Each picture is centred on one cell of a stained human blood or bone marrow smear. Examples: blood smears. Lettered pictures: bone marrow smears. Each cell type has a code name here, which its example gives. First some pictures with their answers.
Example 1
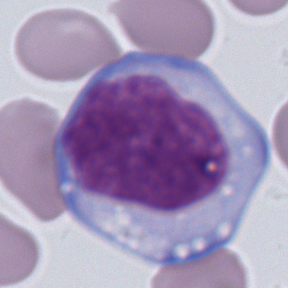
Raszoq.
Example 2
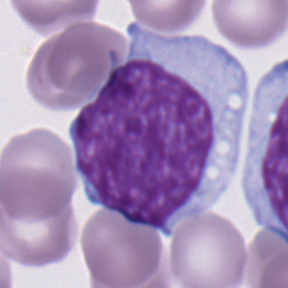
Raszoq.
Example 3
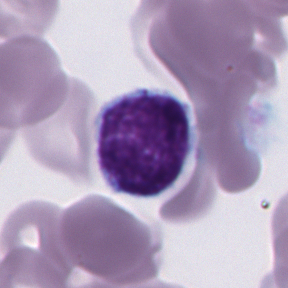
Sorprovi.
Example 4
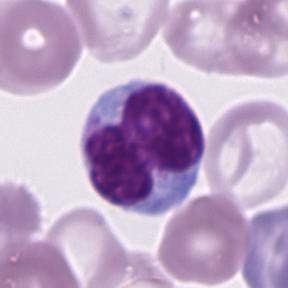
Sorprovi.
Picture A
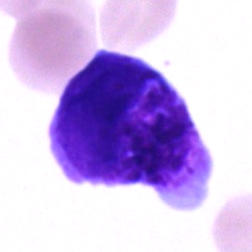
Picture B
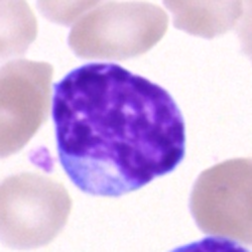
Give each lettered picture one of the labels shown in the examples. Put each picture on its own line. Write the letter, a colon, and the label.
A: Raszoq.
B: Raszoq.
